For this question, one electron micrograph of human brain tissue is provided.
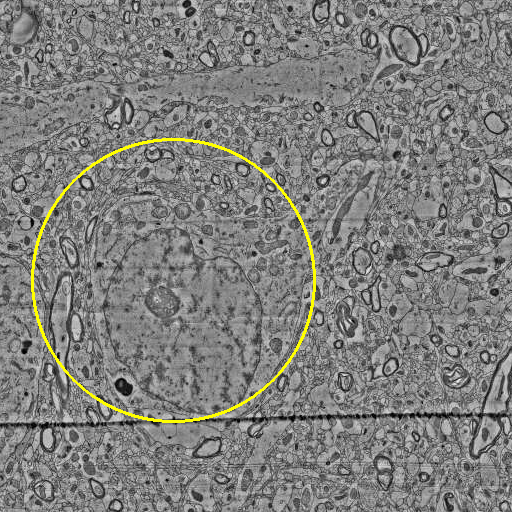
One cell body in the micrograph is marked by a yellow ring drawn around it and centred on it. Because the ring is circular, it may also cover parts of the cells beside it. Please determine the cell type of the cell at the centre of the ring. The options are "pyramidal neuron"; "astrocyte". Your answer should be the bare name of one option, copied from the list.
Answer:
pyramidal neuron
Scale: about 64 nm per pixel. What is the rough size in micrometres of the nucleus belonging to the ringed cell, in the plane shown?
In this plane the nucleus is about 13 micrometres by 10.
